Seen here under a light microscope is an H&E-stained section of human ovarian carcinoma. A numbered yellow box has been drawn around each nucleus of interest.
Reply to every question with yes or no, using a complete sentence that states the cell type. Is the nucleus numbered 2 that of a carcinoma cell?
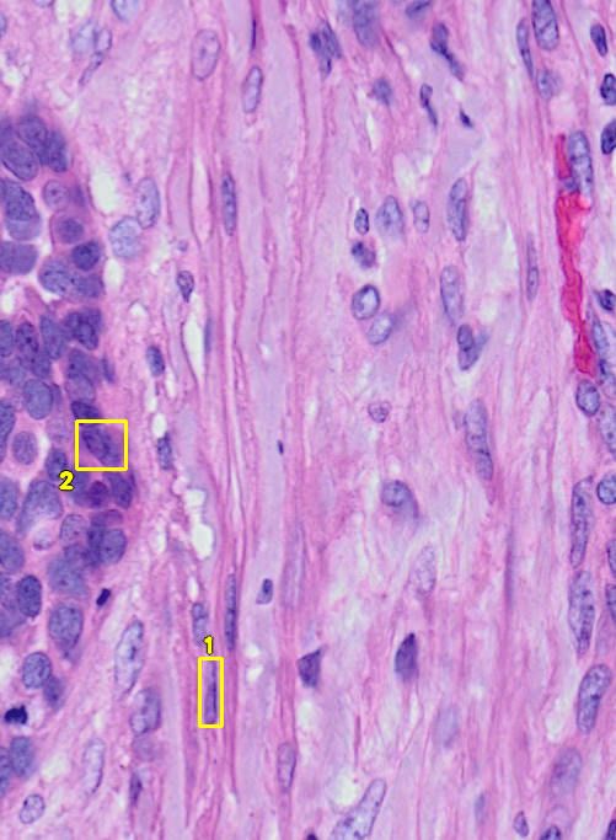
Yes, as for number 2, the cell is a carcinoma cell.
